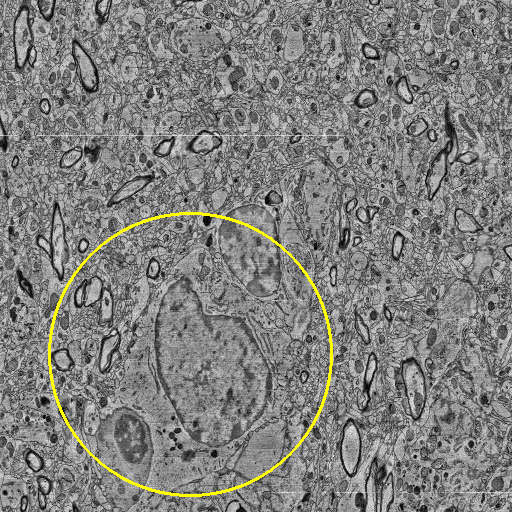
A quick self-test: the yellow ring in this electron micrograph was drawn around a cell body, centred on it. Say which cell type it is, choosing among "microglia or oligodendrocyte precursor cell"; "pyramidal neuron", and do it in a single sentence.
The yellow-ringed cell is a microglial cell or oligodendrocyte precursor cell.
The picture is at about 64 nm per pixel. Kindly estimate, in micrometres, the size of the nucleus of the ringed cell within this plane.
Approximately 10 micrometres long and 7 micrometres wide, in this plane.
